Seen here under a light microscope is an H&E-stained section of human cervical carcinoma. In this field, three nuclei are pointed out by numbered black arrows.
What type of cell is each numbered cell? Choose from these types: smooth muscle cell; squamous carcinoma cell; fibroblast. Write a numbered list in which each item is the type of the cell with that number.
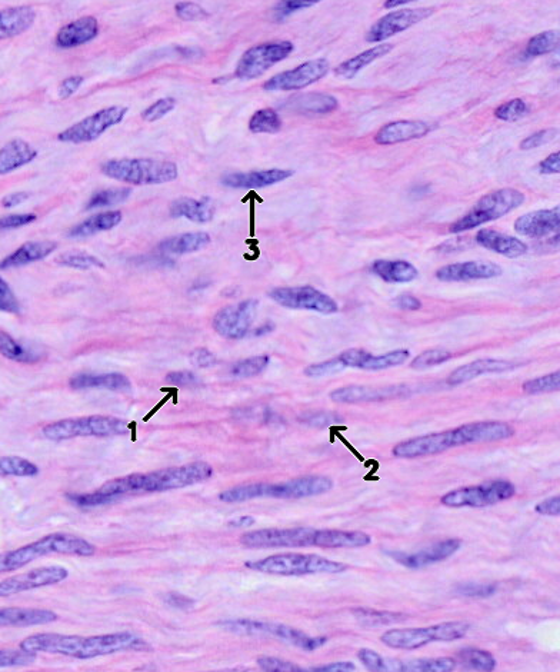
1. smooth muscle cell
2. smooth muscle cell
3. fibroblast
